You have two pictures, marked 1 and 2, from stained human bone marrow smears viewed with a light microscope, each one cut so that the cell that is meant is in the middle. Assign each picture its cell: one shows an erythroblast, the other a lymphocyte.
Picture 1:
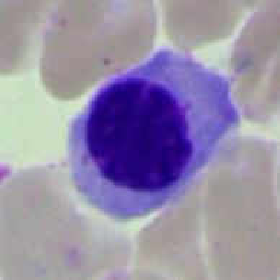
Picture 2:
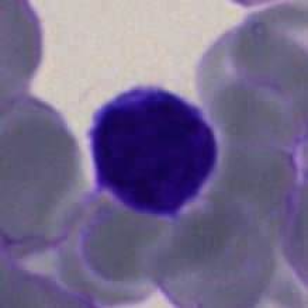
1: erythroblast
2: lymphocyte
